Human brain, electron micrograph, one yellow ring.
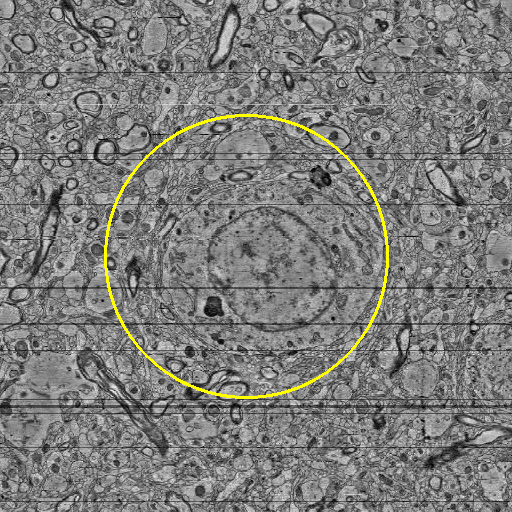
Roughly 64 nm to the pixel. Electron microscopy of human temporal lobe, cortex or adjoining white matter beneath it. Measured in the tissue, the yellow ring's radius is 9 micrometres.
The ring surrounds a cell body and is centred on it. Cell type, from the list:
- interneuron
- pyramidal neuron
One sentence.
The yellow ring circles a pyramidal neuron.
